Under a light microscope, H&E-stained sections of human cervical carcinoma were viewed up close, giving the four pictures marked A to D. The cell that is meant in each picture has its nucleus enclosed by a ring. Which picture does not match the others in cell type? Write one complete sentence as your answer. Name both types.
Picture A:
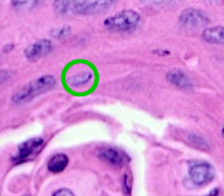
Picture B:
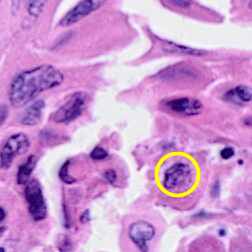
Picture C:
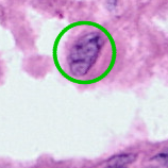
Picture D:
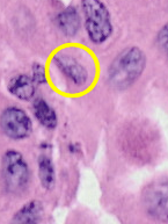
The others show squamous carcinoma cells, but picture B shows a “macrophage or monocyte”.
